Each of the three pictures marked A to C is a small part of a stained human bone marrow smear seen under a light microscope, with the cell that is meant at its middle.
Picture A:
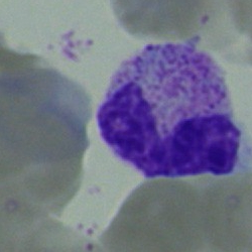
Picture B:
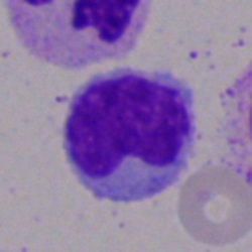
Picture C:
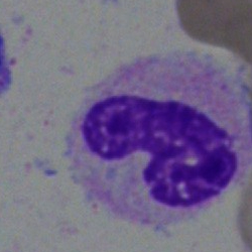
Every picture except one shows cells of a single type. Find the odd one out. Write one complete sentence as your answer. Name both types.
Picture B differs, because its cell is a metamyelocyte and the rest are band neutrophils.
